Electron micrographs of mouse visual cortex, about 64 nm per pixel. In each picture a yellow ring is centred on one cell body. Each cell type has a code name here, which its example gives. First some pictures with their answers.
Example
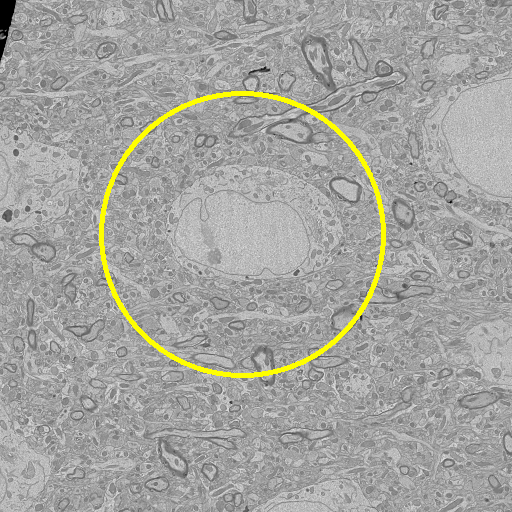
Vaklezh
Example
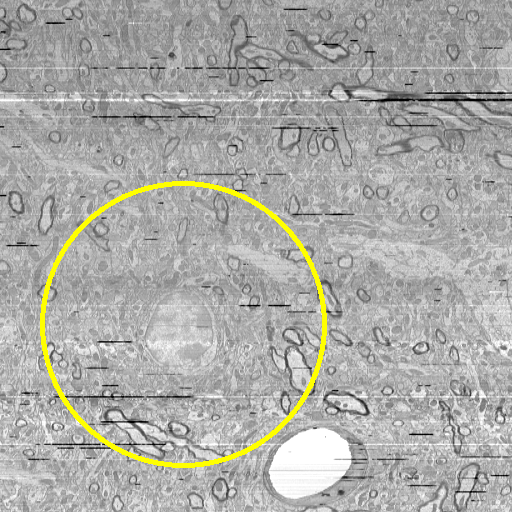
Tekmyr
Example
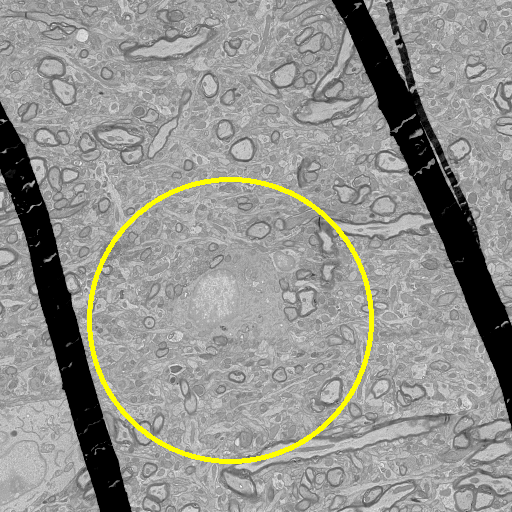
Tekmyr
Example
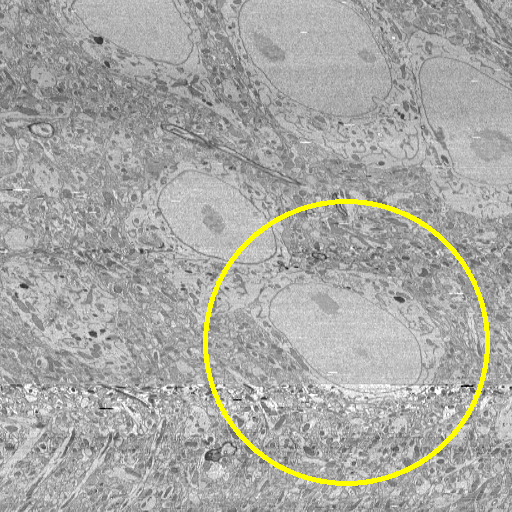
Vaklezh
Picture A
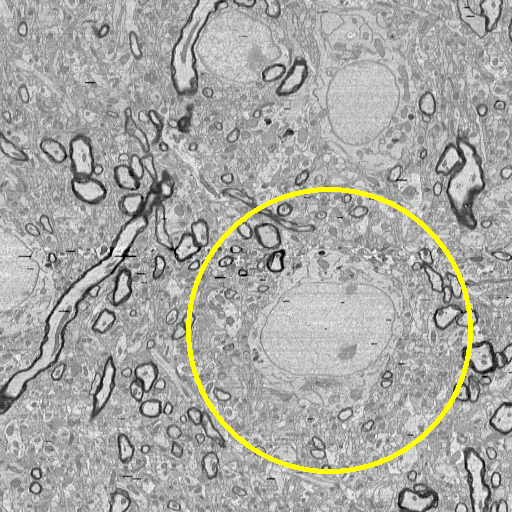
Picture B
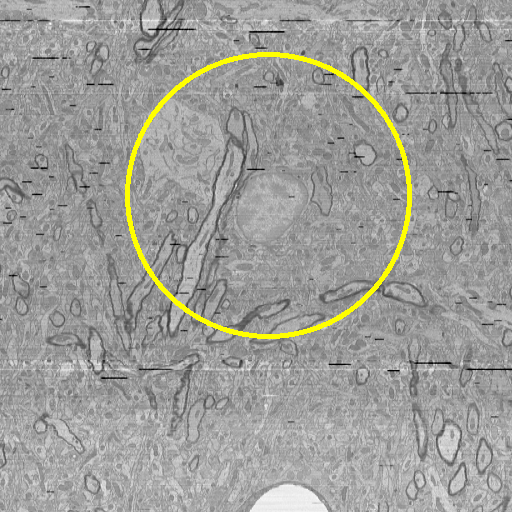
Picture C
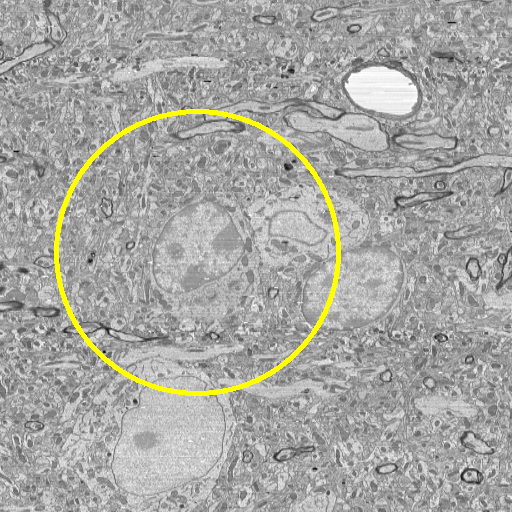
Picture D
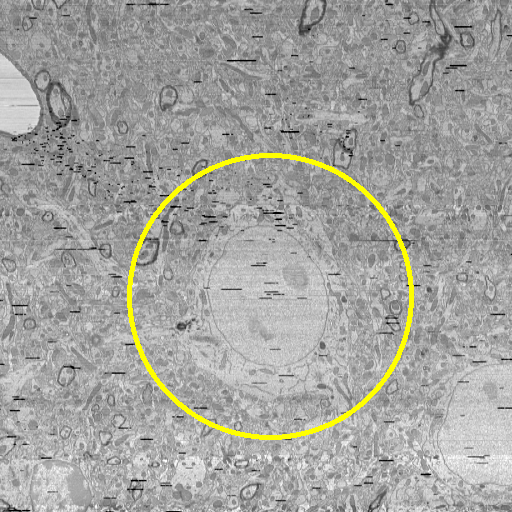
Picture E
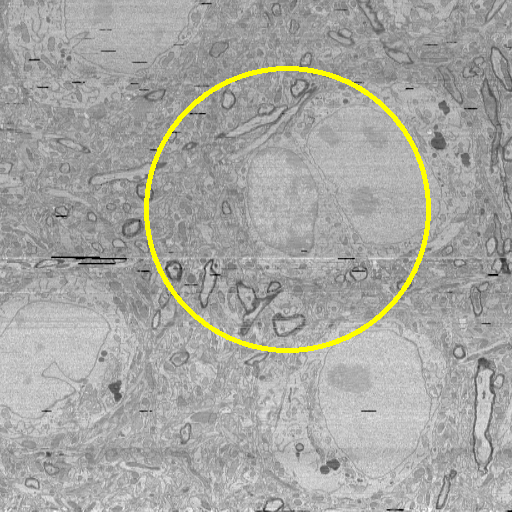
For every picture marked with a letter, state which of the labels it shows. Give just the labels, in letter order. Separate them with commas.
Vaklezh, Tekmyr, Tekmyr, Vaklezh, Tekmyr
